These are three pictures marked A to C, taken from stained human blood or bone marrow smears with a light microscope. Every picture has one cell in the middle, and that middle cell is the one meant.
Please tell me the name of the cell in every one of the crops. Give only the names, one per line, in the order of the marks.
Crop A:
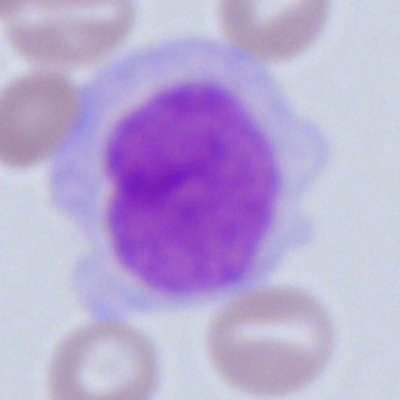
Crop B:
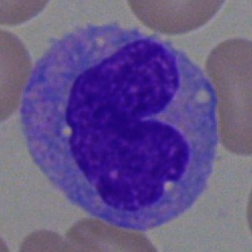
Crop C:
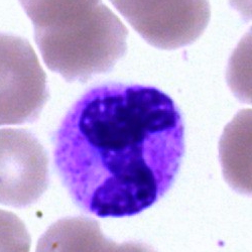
monocyte
monocyte
segmented neutrophil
